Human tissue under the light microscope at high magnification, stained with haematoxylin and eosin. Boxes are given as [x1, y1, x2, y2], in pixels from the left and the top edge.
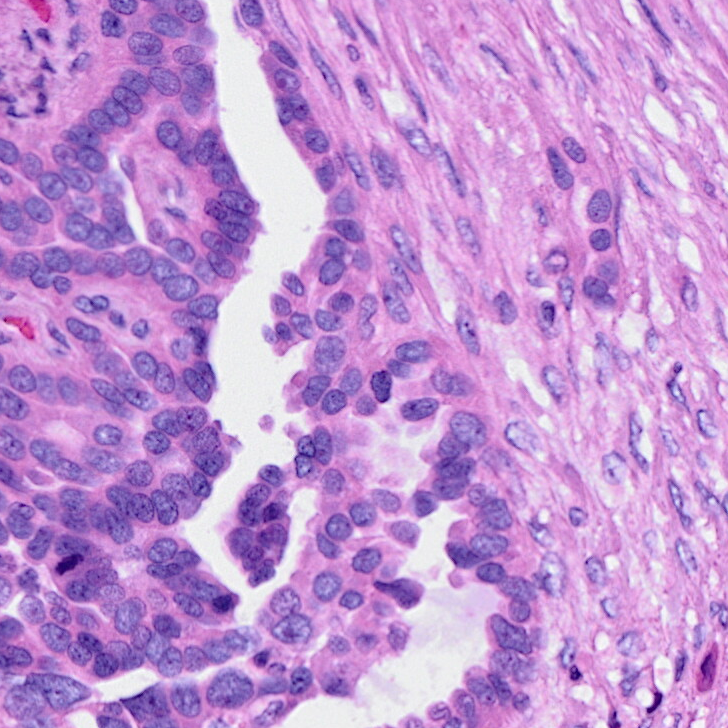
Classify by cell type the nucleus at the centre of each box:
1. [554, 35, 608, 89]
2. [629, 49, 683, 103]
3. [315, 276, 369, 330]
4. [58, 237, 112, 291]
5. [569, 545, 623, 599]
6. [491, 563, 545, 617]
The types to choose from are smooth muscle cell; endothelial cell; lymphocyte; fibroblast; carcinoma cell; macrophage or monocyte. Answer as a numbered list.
1. fibroblast
2. fibroblast
3. carcinoma cell
4. carcinoma cell
5. fibroblast
6. carcinoma cell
